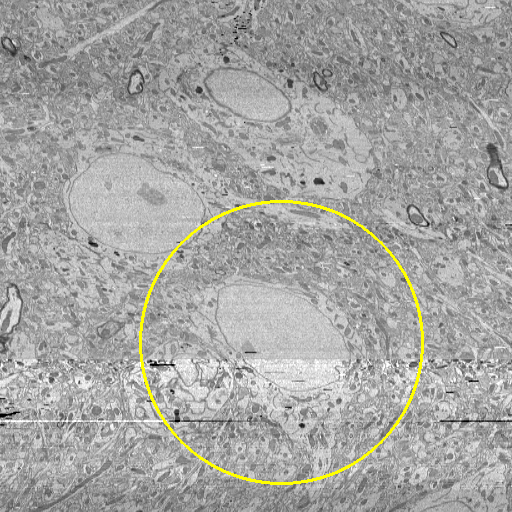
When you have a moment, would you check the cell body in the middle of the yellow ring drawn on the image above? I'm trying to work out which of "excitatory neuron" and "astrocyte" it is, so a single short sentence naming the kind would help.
This cell body belongs to an excitatory neuron.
